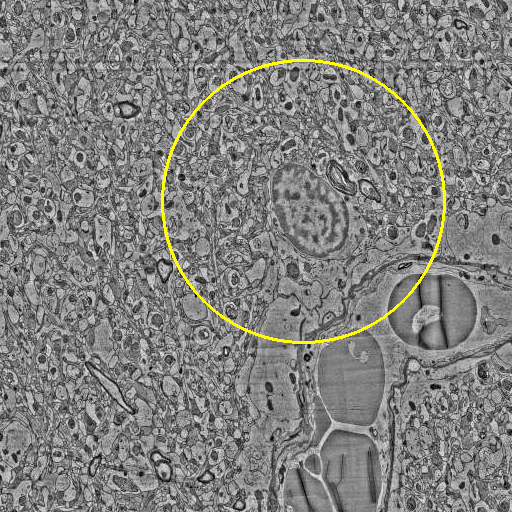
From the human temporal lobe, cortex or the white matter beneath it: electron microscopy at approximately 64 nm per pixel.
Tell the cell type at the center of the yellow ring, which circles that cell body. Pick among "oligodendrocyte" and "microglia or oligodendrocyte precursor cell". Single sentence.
The ring is centered on the body of an oligodendrocyte.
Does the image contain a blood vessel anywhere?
Yes, a blood vessel can be seen.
